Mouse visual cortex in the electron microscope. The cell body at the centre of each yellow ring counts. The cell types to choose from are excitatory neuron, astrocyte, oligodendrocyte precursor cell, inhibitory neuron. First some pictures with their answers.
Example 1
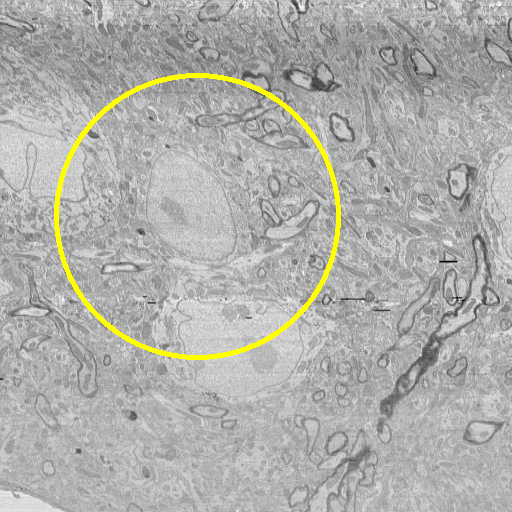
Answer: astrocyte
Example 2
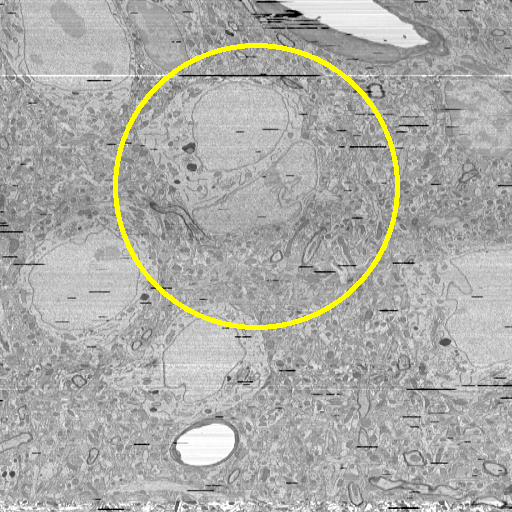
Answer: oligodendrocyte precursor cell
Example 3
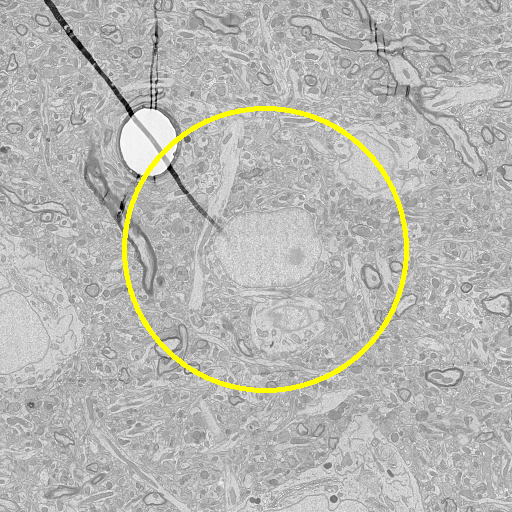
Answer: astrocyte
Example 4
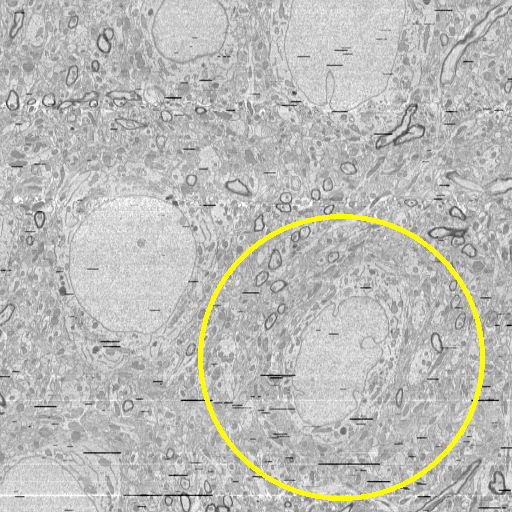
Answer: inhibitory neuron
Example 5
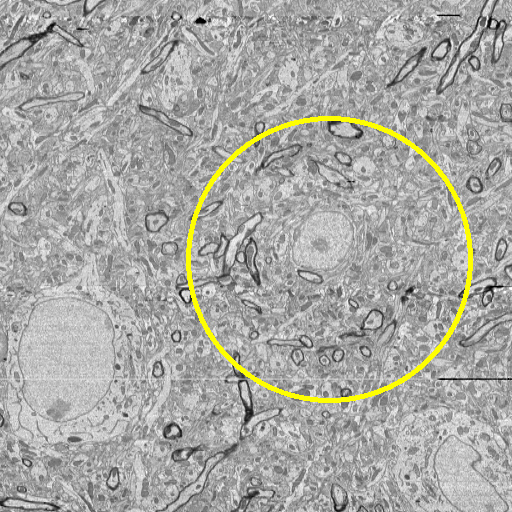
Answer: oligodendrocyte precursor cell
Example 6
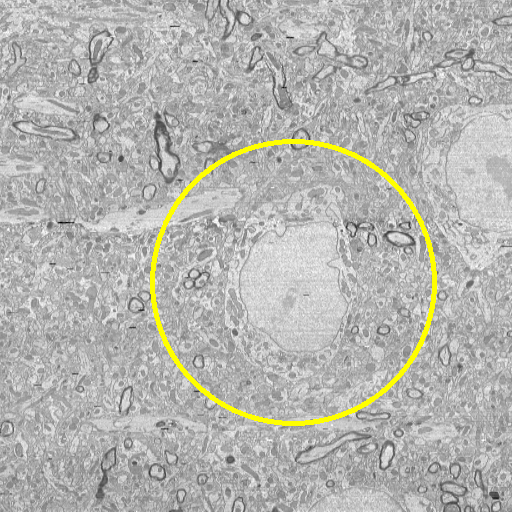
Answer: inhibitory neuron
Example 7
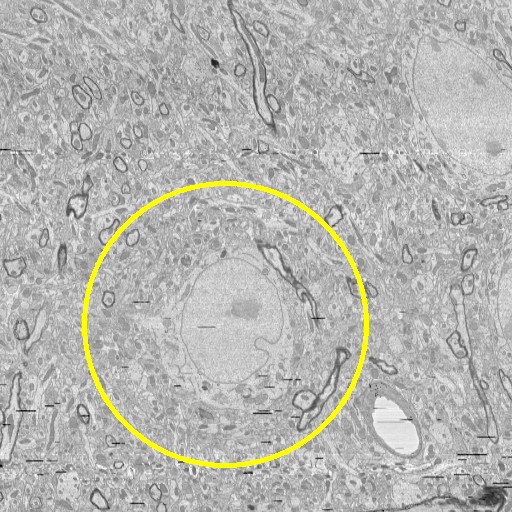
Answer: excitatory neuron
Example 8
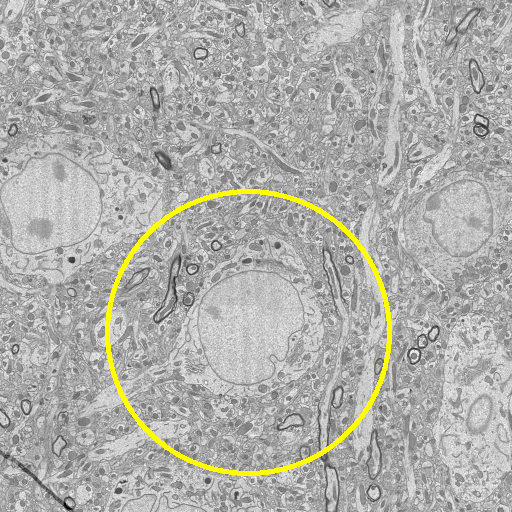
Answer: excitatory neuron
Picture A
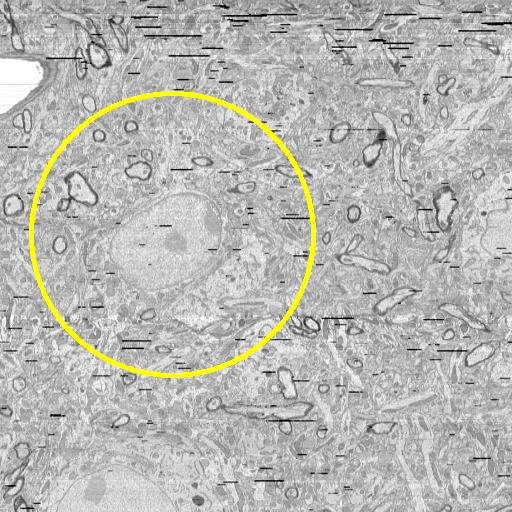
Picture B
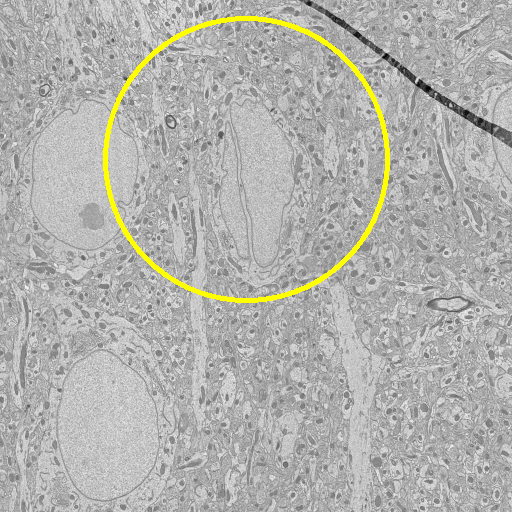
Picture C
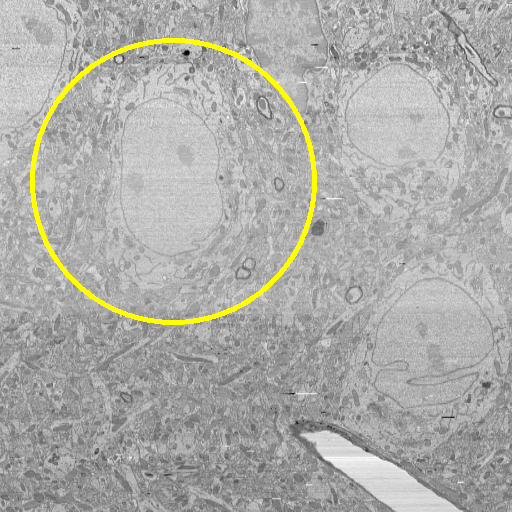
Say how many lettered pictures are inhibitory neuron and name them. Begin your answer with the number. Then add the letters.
1, namely B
